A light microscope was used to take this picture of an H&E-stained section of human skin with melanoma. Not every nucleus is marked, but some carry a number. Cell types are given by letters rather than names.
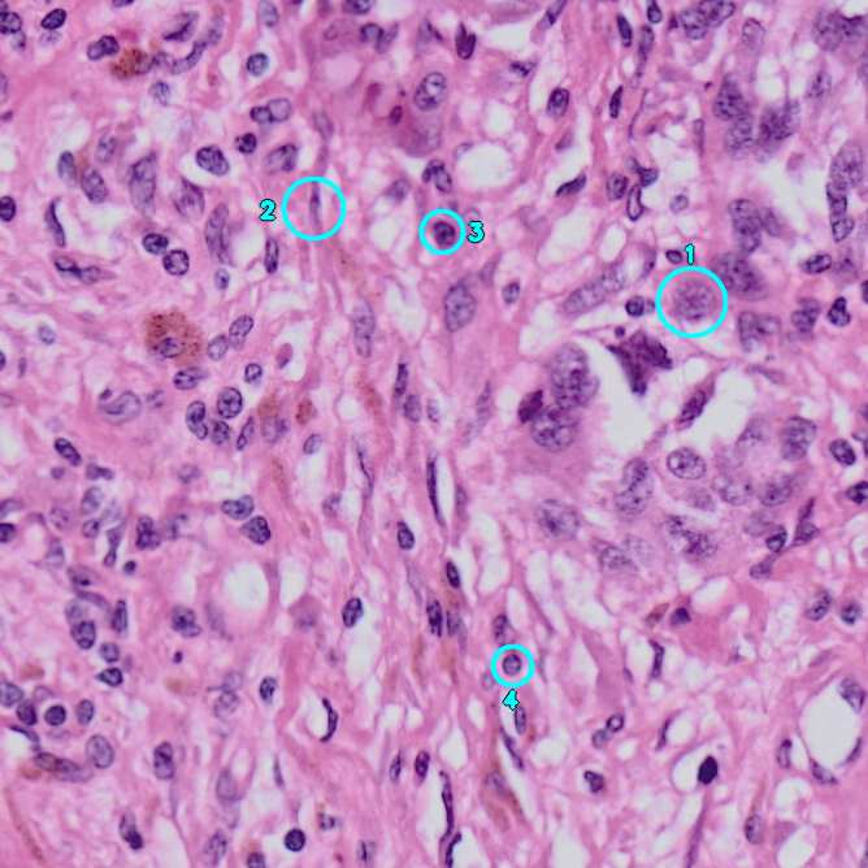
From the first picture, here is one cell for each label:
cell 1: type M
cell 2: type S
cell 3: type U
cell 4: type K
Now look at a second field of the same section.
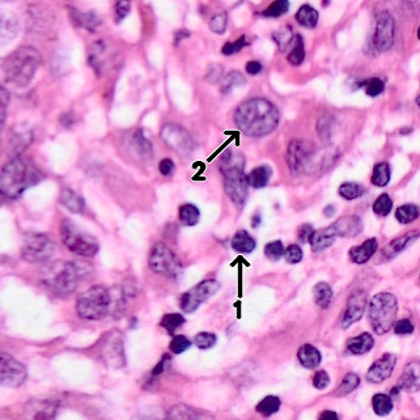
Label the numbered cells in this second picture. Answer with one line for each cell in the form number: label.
1: type K
2: type M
